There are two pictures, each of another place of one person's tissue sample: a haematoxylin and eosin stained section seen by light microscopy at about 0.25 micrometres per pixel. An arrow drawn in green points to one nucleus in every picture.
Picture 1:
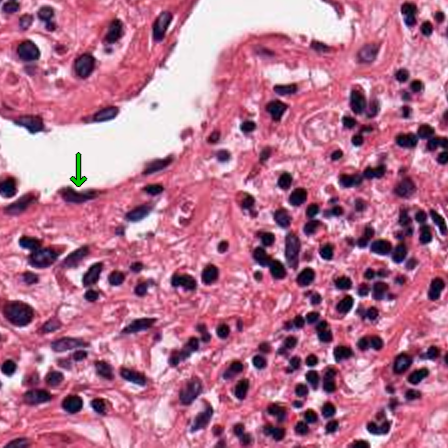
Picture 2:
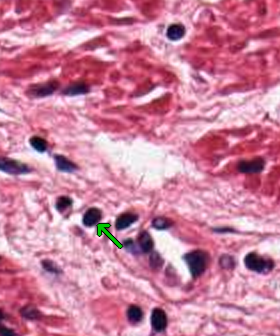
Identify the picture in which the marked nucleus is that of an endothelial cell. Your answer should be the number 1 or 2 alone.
1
